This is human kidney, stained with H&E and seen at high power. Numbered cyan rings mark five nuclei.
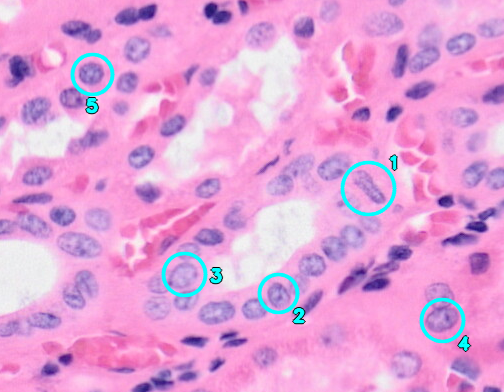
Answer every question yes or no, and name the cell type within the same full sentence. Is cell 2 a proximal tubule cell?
No, cell 2 is a collecting duct cell; it is not a proximal tubule cell.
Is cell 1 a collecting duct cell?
Yes, the number 1 belongs to a collecting duct cell.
